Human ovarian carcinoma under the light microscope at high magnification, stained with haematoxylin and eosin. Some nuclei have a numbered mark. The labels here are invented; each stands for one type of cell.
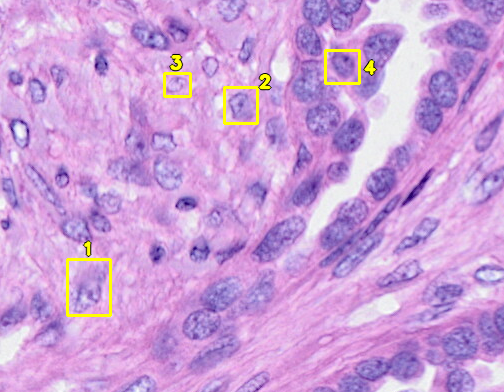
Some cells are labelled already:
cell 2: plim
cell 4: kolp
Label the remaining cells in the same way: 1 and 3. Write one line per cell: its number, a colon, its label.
1: plim
3: plim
